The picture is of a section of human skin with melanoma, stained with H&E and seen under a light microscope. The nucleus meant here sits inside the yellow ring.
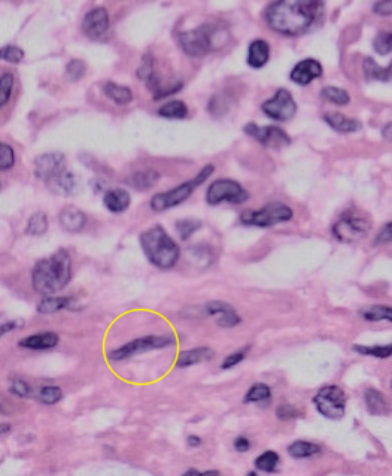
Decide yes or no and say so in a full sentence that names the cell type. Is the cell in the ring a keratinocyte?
No, the cell in the ring is scored as a fibroblast or myofibroblast and not as a keratinocyte.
